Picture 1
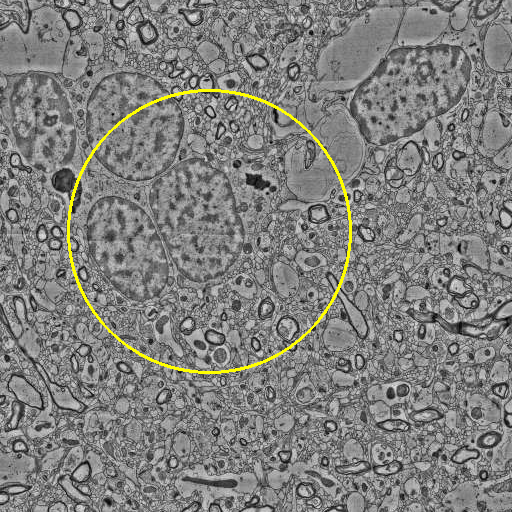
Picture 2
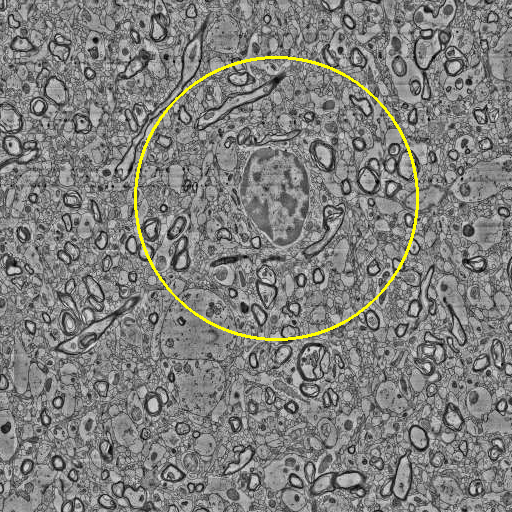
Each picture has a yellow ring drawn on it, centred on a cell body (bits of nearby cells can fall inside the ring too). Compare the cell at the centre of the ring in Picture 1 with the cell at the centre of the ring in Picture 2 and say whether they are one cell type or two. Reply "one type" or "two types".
two types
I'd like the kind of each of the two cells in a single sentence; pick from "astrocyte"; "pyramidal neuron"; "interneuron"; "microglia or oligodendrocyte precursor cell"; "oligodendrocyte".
The first ring marks an oligodendrocyte, and the second ring marks a microglial cell or oligodendrocyte precursor cell.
